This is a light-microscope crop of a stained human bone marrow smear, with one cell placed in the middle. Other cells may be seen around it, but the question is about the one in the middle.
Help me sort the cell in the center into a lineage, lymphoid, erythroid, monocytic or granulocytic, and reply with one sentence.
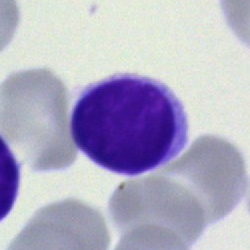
The lymphoid lineage includes the cell at the center of the crop.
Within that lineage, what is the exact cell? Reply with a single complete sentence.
The cell at the middle of the crop is recognized as a lymphocyte.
